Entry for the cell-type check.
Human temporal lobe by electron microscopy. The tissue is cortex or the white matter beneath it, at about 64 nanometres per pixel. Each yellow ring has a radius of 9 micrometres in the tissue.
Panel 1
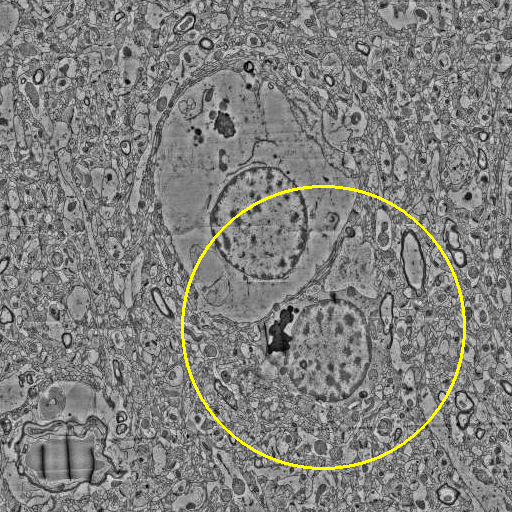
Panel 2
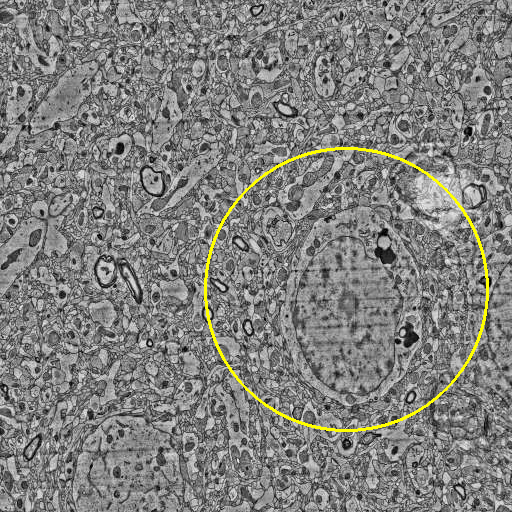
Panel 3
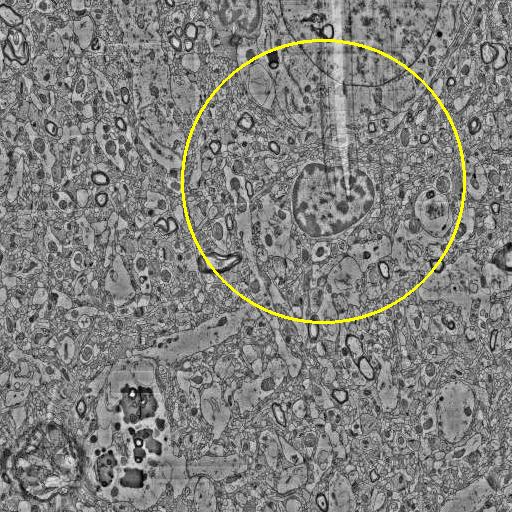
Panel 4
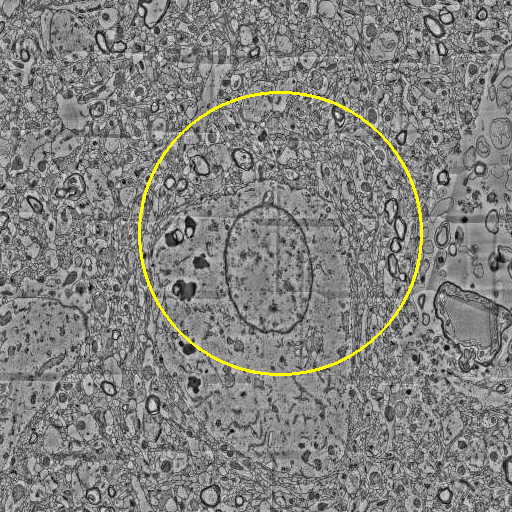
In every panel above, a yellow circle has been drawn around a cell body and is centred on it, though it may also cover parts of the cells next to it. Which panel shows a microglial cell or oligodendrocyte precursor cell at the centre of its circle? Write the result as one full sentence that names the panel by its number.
Panel 3 shows it at the centre of its circle.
